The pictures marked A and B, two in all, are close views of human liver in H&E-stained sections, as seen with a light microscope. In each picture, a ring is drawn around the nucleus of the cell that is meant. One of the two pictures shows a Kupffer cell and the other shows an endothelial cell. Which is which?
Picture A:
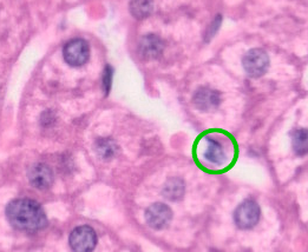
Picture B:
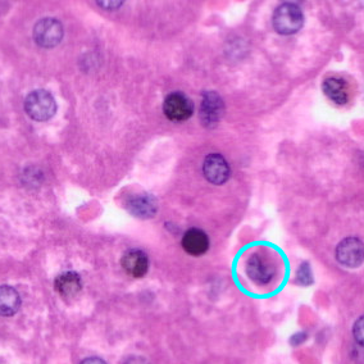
A: endothelial cell
B: Kupffer cell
